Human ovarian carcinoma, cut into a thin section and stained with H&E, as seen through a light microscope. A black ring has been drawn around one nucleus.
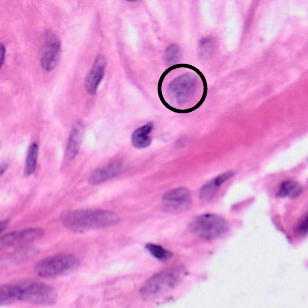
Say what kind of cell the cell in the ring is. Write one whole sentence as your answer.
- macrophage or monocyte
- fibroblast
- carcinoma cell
With respect to cell type, the cell in the ring is a fibroblast.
